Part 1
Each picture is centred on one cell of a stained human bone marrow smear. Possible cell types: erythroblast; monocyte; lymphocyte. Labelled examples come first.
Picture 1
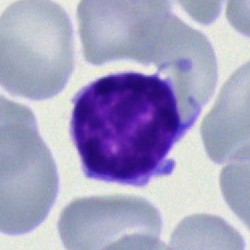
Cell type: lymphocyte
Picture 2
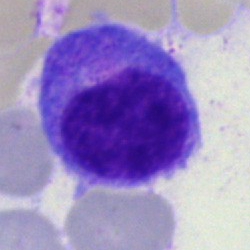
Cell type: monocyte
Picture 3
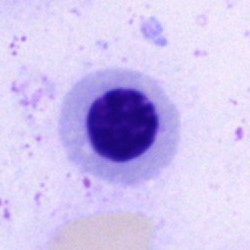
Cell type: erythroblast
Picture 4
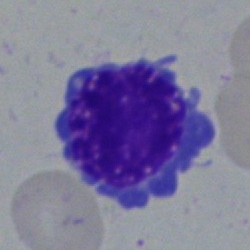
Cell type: erythroblast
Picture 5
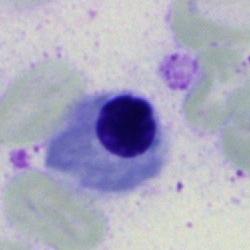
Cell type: erythroblast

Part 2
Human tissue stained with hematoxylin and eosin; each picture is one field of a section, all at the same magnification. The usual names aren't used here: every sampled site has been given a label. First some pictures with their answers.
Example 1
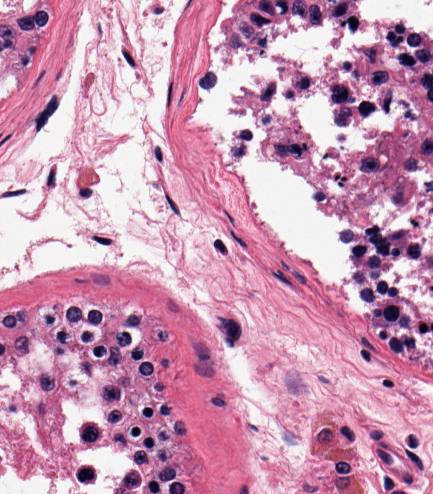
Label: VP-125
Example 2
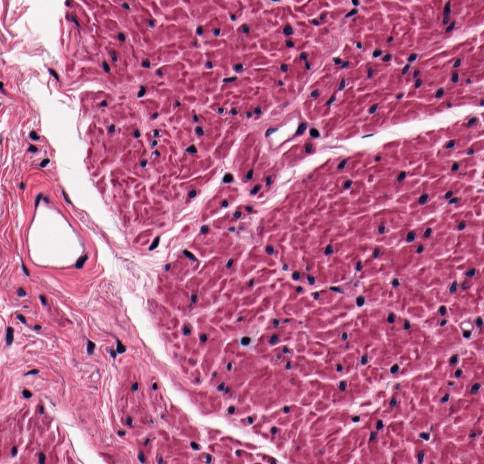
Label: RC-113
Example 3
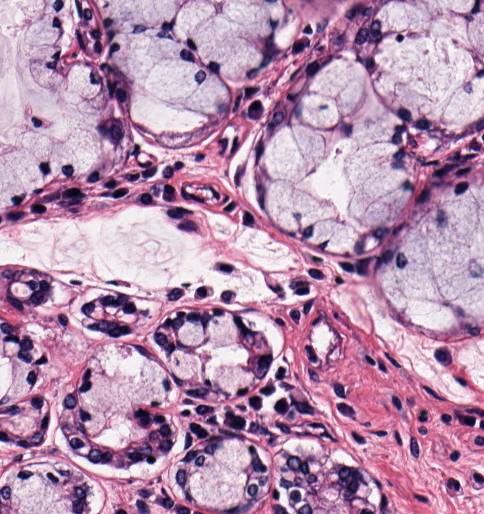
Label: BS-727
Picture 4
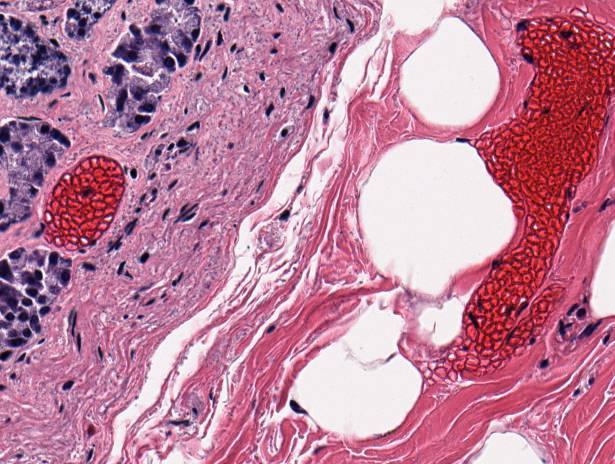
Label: RC-113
